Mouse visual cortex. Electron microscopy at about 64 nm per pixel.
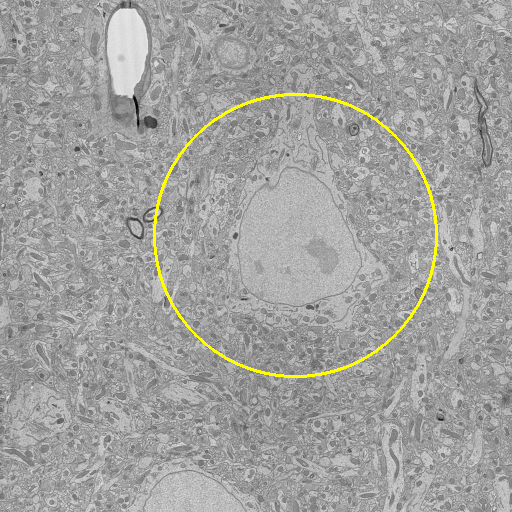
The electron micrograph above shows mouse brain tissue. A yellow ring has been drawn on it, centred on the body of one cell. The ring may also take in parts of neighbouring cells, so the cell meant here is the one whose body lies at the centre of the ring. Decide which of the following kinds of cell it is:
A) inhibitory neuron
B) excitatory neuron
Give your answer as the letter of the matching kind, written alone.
B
